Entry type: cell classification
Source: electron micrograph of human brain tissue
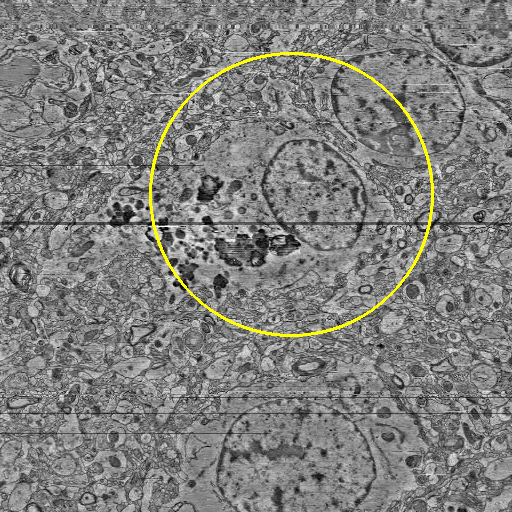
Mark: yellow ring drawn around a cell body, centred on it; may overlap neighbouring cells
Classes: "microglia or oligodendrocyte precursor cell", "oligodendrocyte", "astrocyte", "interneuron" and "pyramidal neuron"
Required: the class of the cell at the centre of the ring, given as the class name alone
astrocyte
